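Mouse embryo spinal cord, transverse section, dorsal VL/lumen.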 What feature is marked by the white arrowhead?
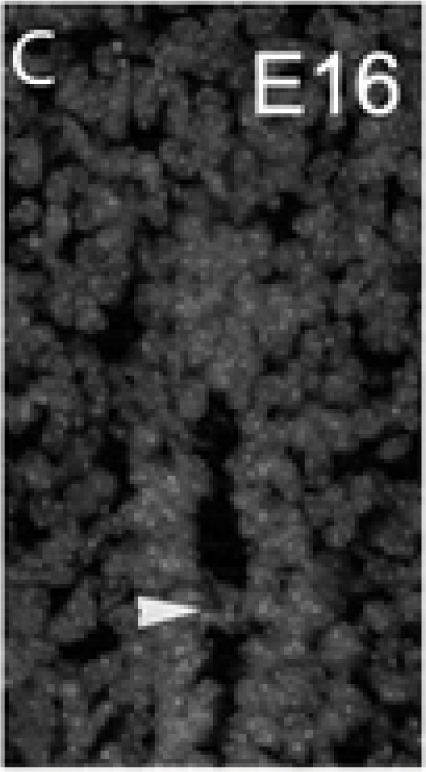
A: nuclear bridges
